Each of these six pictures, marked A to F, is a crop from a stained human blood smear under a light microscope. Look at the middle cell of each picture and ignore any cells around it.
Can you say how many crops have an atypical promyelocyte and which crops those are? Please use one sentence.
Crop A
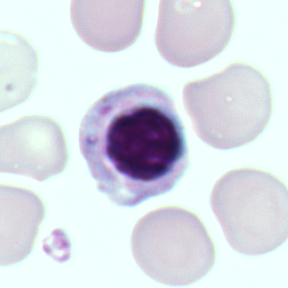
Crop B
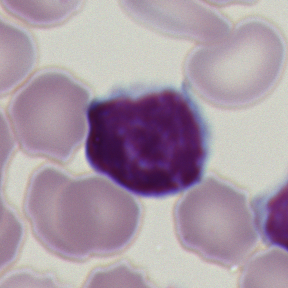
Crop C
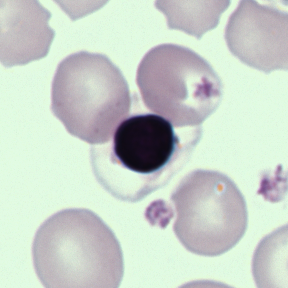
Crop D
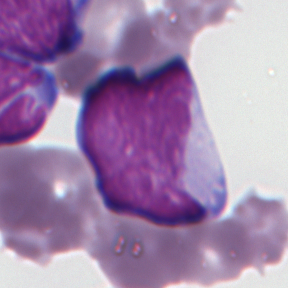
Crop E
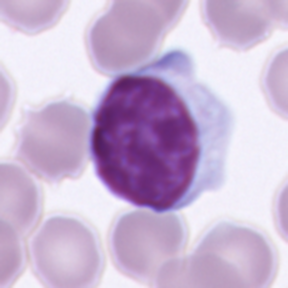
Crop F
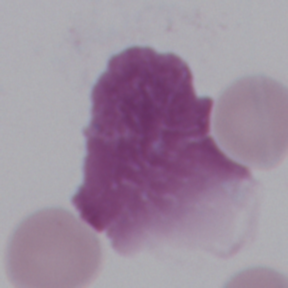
There are no atypical promyelocytes in any of the crops, so the count is zero.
